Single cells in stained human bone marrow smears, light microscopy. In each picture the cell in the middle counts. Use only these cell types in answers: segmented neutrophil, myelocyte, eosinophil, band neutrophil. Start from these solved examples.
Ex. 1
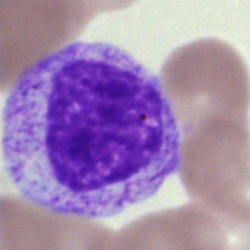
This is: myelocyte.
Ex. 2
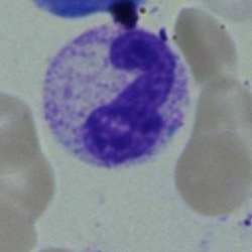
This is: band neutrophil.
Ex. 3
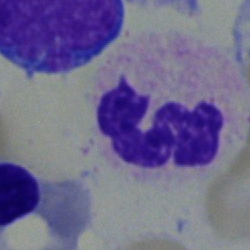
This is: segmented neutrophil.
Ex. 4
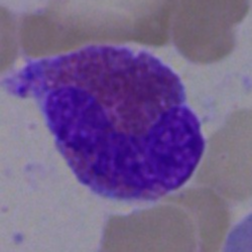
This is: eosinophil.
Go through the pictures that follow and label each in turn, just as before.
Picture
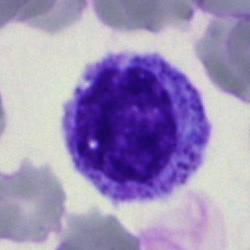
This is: myelocyte.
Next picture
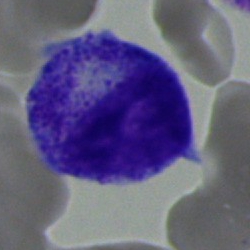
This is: myelocyte.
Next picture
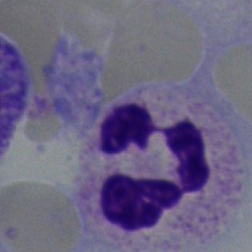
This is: segmented neutrophil.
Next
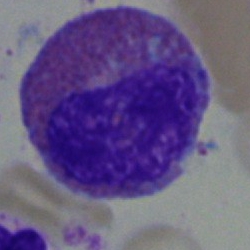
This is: eosinophil.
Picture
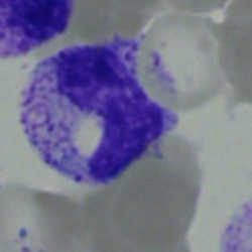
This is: band neutrophil.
